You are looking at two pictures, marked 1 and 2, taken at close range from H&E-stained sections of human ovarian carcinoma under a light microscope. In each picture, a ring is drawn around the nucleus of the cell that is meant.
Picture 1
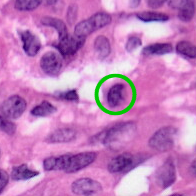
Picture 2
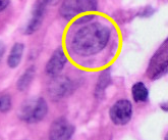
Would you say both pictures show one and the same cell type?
no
